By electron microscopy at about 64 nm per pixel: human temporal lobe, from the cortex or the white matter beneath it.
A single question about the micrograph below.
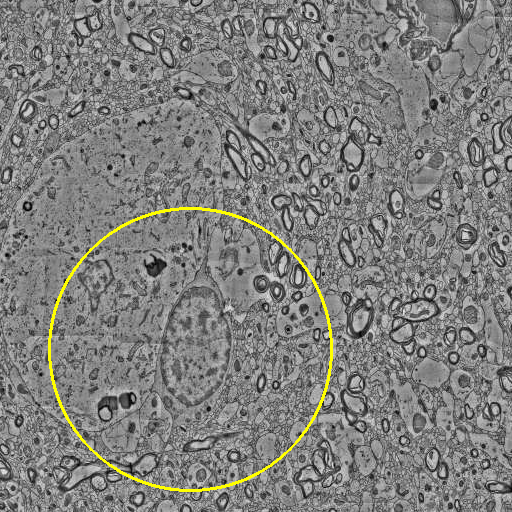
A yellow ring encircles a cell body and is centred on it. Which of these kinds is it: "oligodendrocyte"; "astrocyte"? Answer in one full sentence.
The cell body at the centre of the yellow ring belongs to an oligodendrocyte.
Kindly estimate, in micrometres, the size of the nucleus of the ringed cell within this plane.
The ringed cell's nucleus is about 7 micrometres long and 4 micrometres wide in this plane.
